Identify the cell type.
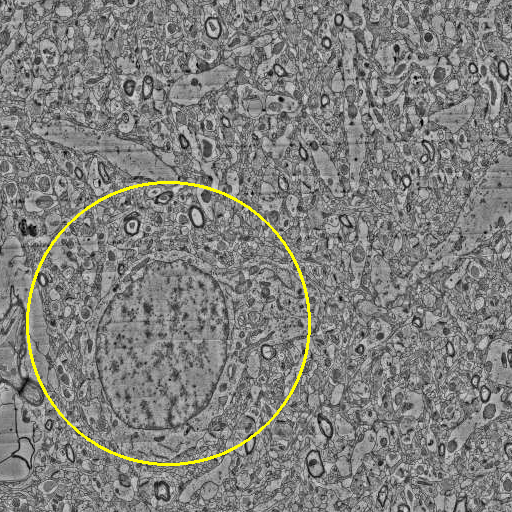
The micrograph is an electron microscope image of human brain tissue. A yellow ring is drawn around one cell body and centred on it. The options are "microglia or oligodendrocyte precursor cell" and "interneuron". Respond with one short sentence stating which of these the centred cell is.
The cell body in the ring belongs to an interneuron.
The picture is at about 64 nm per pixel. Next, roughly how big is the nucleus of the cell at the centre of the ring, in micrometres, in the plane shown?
In this plane, the nucleus of the cell at the centre of the ring measures about 11 by 8 micrometres.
